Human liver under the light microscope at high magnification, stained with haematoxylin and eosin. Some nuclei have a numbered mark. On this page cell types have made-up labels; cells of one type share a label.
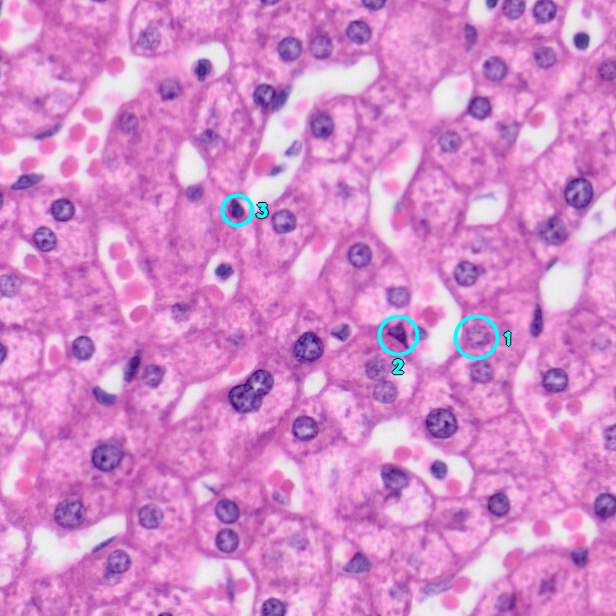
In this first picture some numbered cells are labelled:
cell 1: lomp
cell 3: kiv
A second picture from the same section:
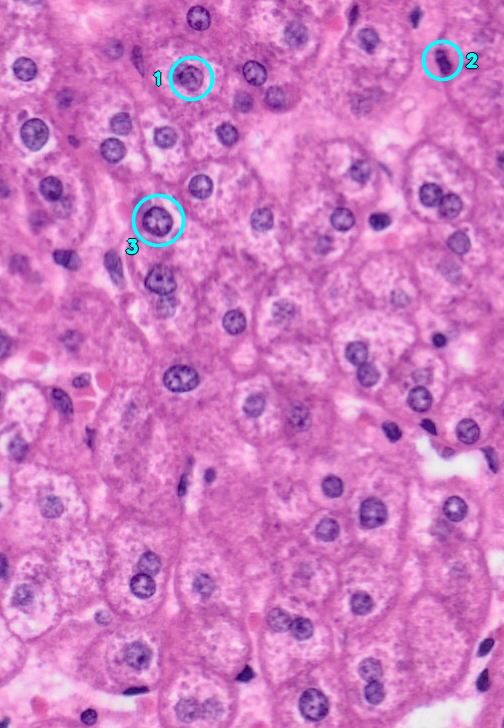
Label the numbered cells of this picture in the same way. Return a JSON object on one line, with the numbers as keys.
{"1": "lomp", "2": "kiv", "3": "lomp"}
